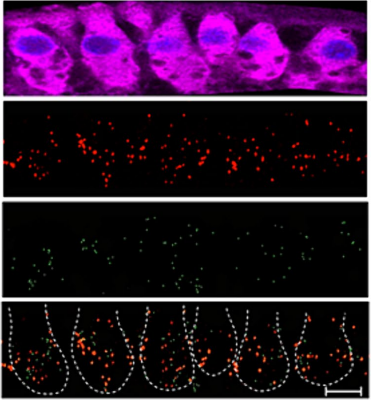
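A single row of inner hair cells from the cochlea is shown in four stacked views. Below, many red dots and fewer small green dots cluster at the rounded lower ends of the cells, which are traced by white dashed lines in the merged view.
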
